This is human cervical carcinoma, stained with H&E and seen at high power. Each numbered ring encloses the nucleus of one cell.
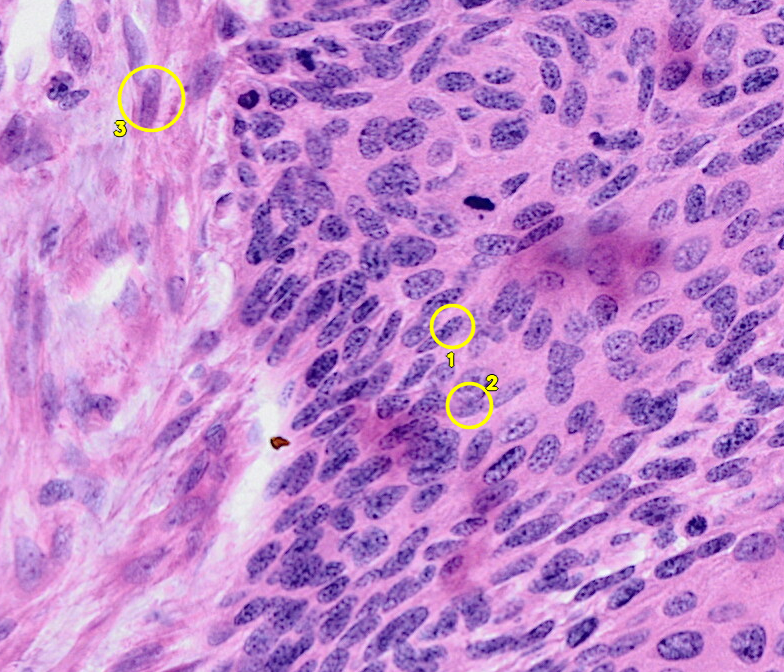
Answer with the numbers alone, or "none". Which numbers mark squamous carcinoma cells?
1, 2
